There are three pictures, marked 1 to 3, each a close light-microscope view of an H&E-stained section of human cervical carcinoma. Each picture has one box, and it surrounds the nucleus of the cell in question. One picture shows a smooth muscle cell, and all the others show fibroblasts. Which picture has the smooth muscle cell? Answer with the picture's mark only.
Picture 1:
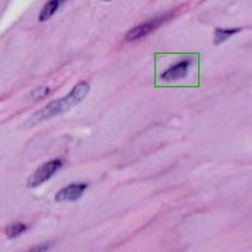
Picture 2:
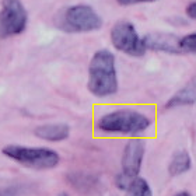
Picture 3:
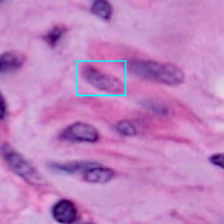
3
